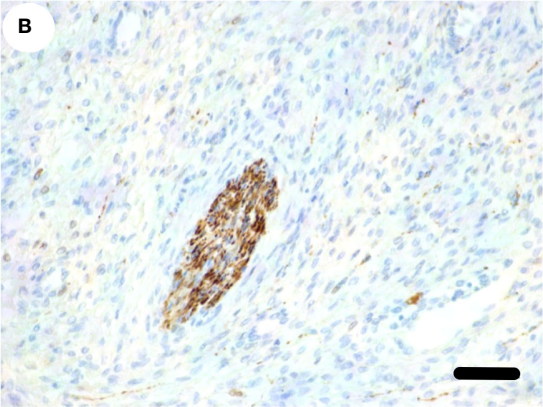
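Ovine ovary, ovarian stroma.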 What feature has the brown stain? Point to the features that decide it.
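A single compact, elongated bundle of brown fibres. The bundle lies among pale spindle-shaped stromal cells with blue nuclei.
Answer: nerve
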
